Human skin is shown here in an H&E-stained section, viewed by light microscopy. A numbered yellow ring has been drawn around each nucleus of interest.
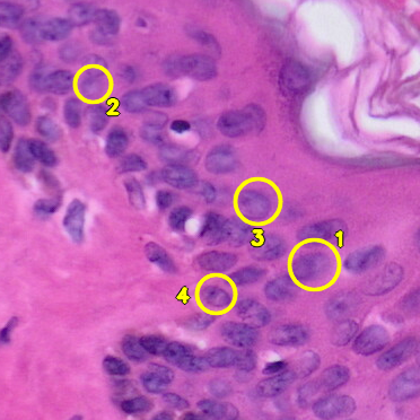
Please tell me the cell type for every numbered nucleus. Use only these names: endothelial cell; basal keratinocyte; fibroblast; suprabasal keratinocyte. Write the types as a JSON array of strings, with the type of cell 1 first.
["suprabasal keratinocyte", "suprabasal keratinocyte", "suprabasal keratinocyte", "basal keratinocyte"]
